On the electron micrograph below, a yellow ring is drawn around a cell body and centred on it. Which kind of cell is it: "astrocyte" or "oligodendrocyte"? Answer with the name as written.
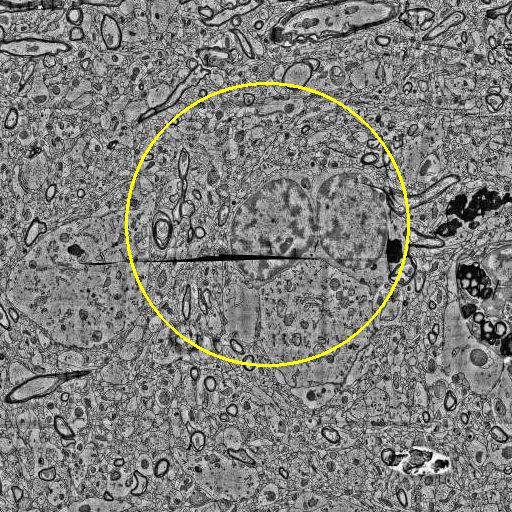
oligodendrocyte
